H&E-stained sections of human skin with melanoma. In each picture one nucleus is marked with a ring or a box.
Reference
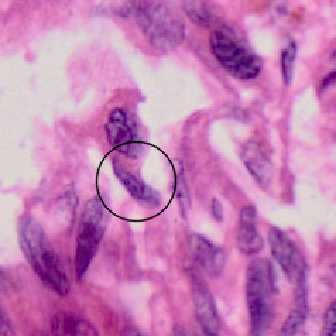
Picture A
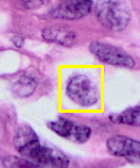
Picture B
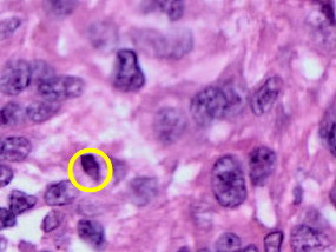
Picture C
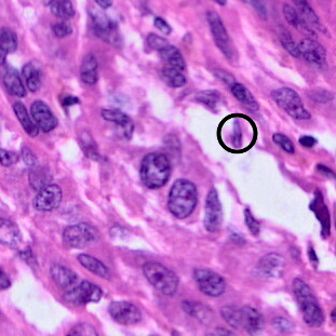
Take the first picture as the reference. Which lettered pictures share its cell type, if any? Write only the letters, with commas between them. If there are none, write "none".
A, B, C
